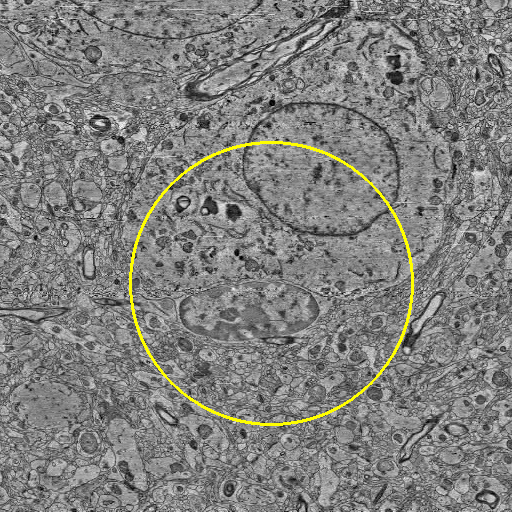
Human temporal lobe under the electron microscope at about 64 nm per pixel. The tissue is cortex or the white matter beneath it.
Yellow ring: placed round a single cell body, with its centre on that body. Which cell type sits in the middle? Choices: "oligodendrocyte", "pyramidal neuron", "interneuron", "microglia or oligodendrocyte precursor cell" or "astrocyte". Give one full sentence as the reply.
It is a microglial cell or oligodendrocyte precursor cell whose cell body sits at the centre of the yellow ring.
